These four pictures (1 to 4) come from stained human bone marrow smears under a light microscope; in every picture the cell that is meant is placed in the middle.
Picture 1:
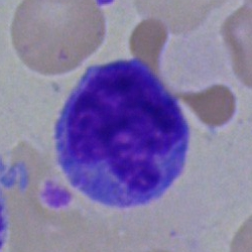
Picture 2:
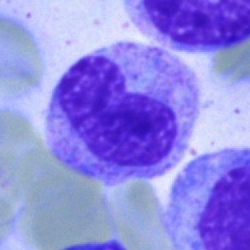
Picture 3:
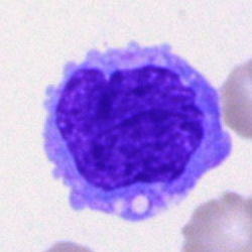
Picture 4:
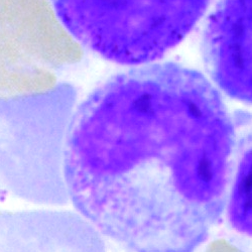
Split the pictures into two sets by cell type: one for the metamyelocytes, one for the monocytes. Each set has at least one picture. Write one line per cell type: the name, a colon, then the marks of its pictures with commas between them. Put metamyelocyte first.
metamyelocyte: 2, 4
monocyte: 1, 3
